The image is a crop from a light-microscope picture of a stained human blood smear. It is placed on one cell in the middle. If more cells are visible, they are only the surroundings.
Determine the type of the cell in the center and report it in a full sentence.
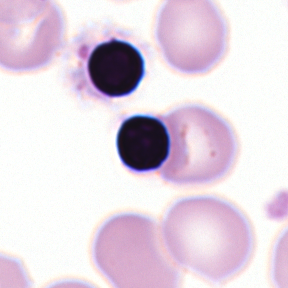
The cell featured at the centre of this crop is a normoblast.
